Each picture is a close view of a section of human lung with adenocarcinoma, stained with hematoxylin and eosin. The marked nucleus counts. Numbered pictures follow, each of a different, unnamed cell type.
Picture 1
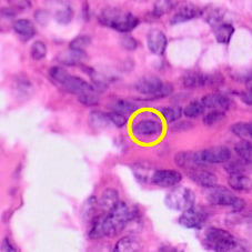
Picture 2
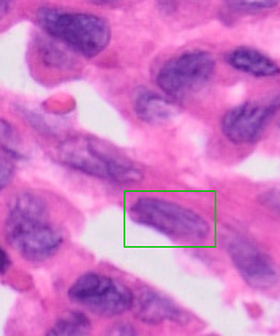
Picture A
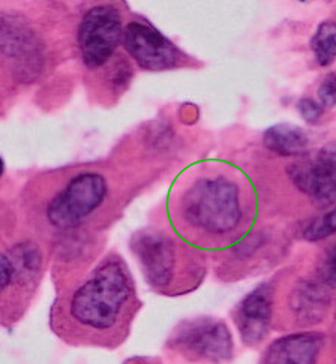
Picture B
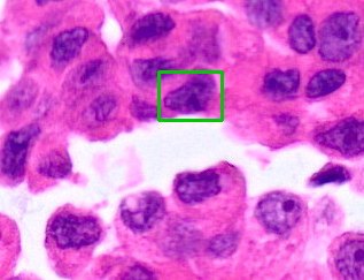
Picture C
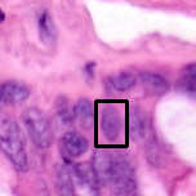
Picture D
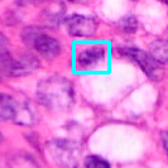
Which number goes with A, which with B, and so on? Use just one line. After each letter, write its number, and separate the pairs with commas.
A 2, B 2, C 1, D 1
